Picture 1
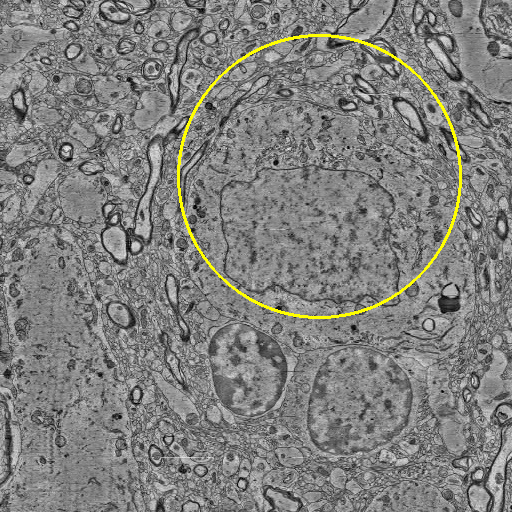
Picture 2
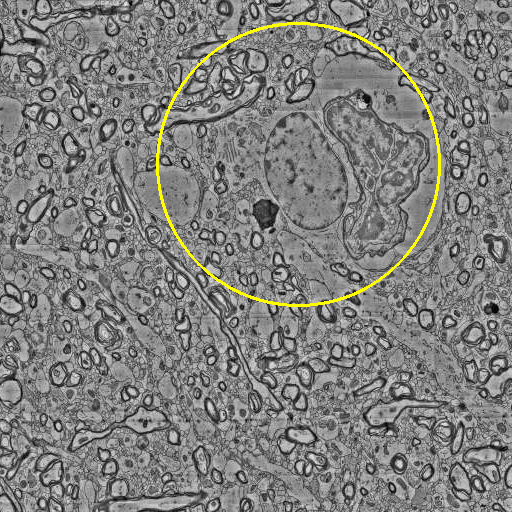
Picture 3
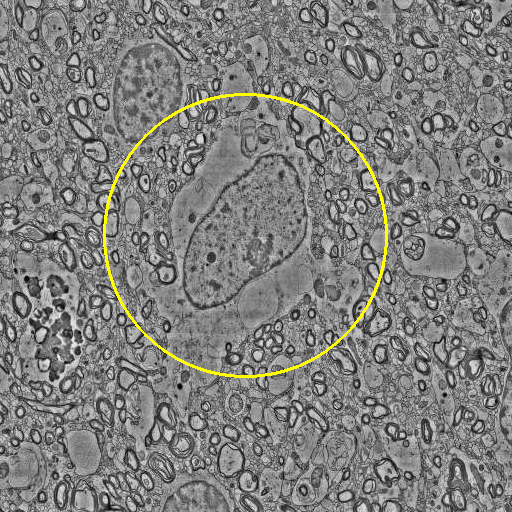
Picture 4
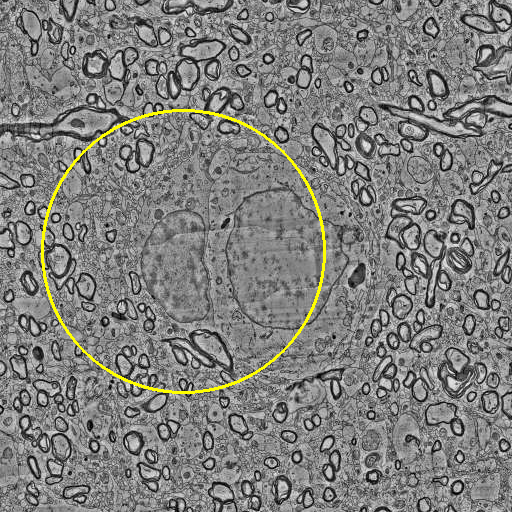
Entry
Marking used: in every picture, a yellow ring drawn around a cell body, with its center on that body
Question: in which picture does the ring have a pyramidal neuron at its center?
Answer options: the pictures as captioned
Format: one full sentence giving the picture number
Picture 1 is where the ring's center falls on the requested cell.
